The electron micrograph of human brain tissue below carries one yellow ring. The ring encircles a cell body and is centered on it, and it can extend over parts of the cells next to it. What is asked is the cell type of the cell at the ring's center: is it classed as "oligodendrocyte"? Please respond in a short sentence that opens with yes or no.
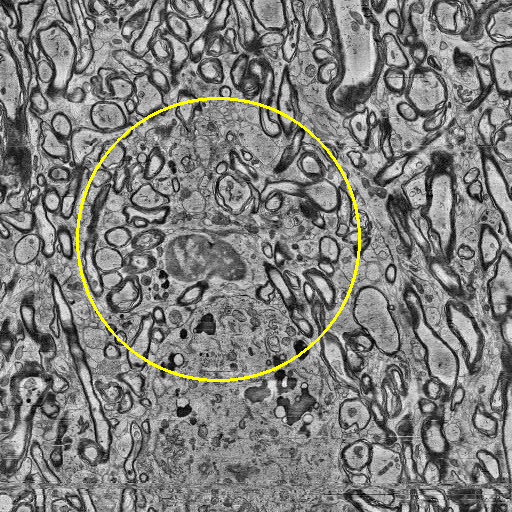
No, it is classed otherwise.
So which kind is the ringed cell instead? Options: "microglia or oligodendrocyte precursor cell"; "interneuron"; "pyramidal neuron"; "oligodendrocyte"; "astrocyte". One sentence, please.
What the ring is centred on is a microglial cell or oligodendrocyte precursor cell.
